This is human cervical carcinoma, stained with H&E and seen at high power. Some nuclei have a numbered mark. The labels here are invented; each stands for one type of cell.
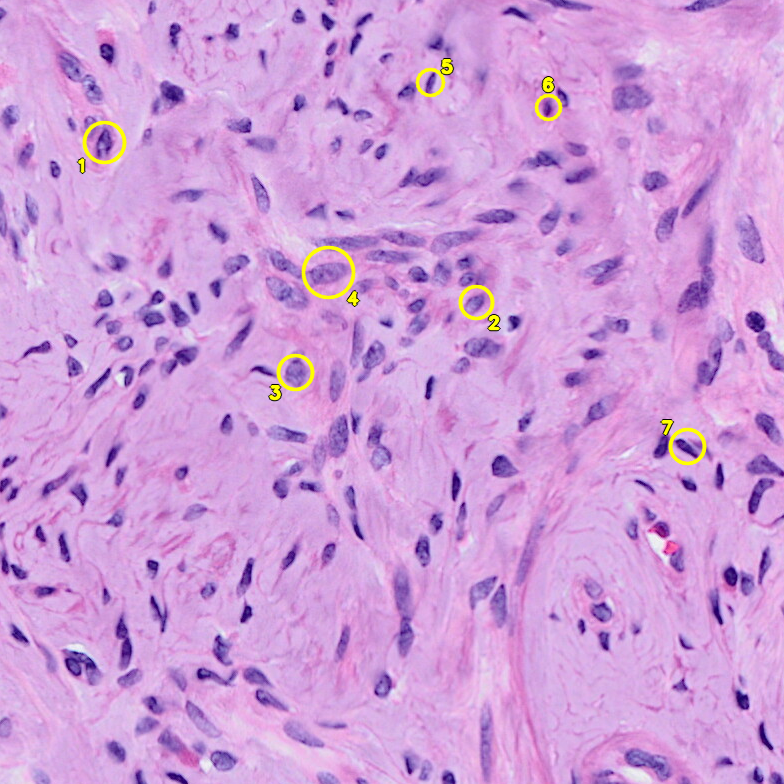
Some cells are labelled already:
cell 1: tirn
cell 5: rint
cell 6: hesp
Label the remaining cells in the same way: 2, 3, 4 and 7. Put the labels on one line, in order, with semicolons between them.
hesp; rint; hesp; rint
